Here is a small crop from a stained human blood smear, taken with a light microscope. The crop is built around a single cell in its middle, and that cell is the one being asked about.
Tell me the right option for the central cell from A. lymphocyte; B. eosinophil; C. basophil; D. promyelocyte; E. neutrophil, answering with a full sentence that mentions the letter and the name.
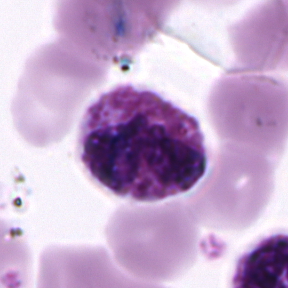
That cell in the center is an eosinophil, hence option B.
